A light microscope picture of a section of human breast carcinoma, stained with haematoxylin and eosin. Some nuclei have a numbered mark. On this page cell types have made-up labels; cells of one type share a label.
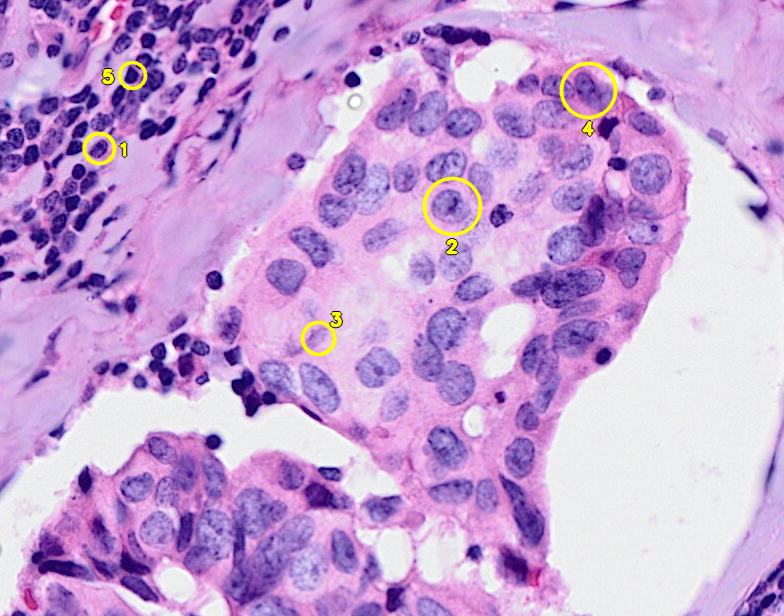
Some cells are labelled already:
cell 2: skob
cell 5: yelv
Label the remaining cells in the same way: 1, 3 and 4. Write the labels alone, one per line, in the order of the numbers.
yelv
skob
skob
